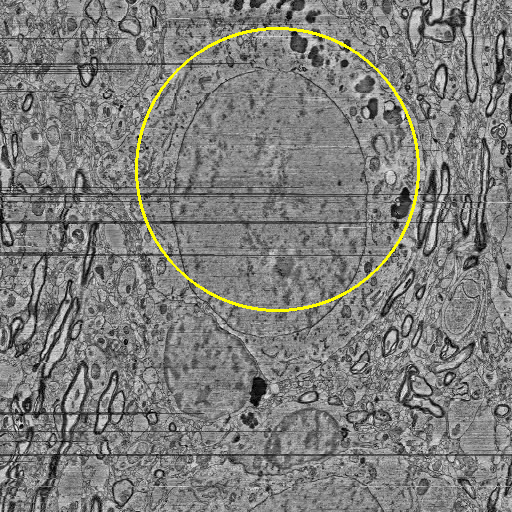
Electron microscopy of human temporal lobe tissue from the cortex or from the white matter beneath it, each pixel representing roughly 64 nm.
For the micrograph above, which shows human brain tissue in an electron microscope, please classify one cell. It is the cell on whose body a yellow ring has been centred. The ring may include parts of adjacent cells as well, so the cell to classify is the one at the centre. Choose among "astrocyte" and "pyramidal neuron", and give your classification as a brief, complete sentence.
I classify this cell as a pyramidal neuron.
